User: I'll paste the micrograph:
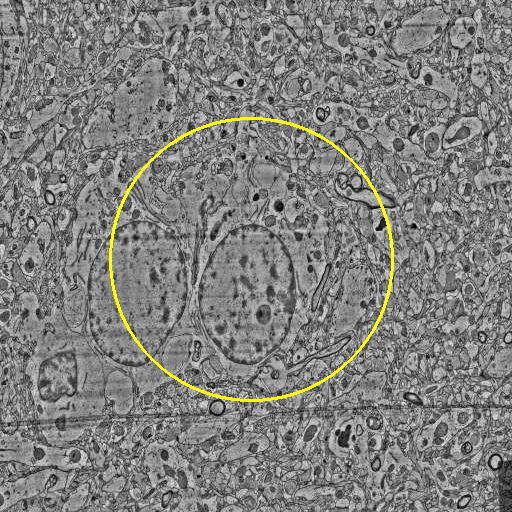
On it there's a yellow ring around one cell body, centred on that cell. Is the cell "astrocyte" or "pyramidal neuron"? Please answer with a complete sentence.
The cell ringed in yellow is an astrocyte.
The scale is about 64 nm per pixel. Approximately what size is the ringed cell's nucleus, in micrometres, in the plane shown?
The nucleus appears roughly 9 by 6 micrometres in this plane.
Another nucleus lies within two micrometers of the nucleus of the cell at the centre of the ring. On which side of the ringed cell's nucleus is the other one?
That nucleus lies to the left of it.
